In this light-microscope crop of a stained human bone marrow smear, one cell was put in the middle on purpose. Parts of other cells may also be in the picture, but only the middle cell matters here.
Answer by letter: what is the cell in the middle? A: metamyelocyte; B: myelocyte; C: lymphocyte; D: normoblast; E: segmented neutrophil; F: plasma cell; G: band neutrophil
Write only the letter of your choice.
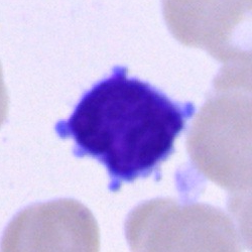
C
